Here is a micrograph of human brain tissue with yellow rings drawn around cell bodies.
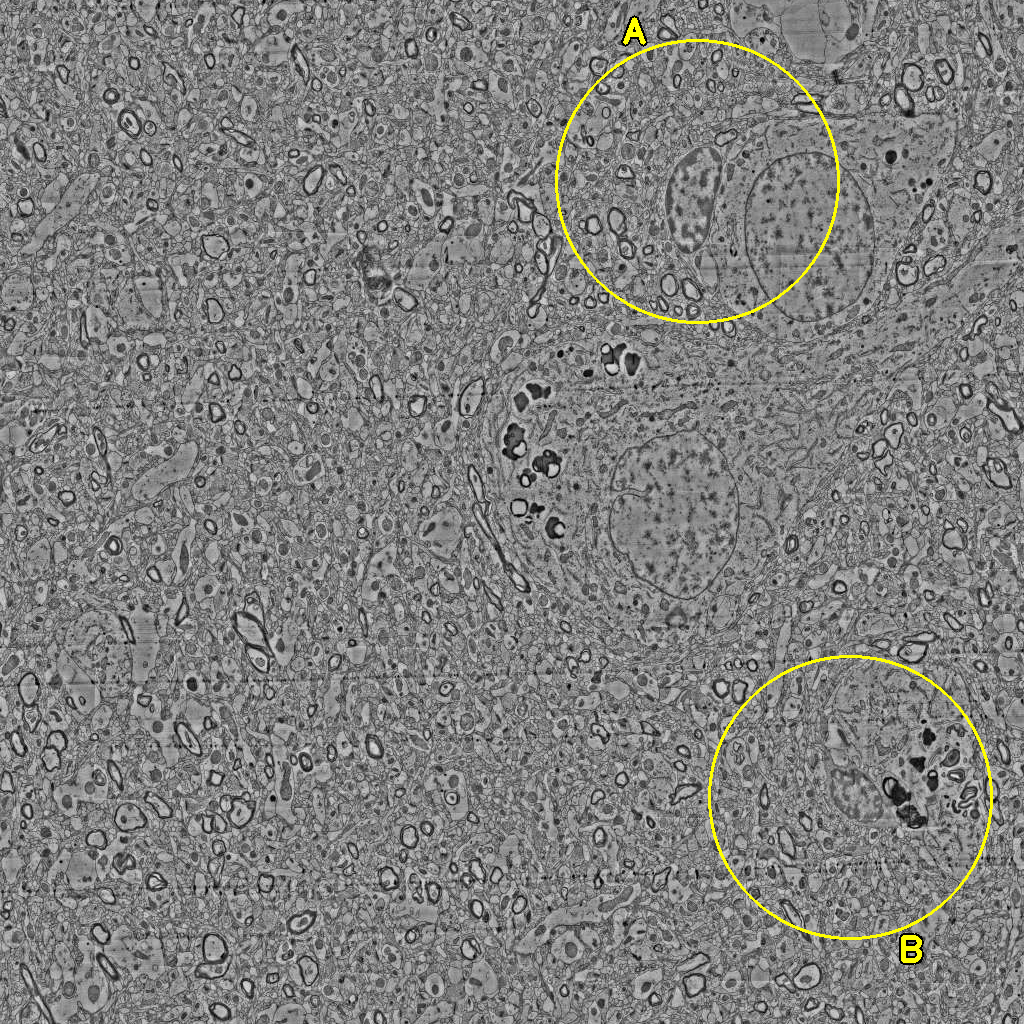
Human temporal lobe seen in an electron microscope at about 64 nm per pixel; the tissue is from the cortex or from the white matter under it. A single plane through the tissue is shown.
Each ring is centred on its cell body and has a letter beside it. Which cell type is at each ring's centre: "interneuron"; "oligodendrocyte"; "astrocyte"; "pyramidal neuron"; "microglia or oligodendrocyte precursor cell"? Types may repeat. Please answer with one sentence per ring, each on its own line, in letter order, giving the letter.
Ring A shows a microglial cell or oligodendrocyte precursor cell at its centre.
Ring B shows an oligodendrocyte at its centre.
